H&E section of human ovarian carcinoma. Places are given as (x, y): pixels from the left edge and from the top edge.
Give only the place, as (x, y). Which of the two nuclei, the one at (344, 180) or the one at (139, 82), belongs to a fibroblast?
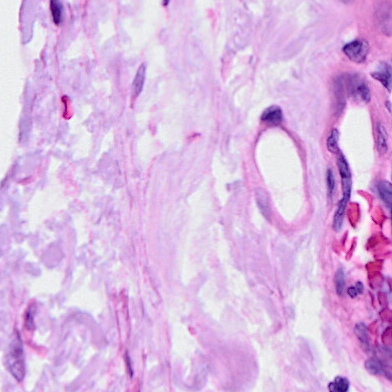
(139, 82)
